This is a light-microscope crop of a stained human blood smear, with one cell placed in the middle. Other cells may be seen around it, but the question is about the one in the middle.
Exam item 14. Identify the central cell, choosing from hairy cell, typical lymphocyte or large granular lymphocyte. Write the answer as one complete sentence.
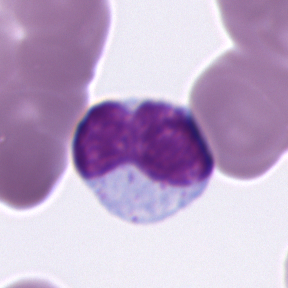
The central cell, amid any neighbouring cells, is a large granular lymphocyte.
